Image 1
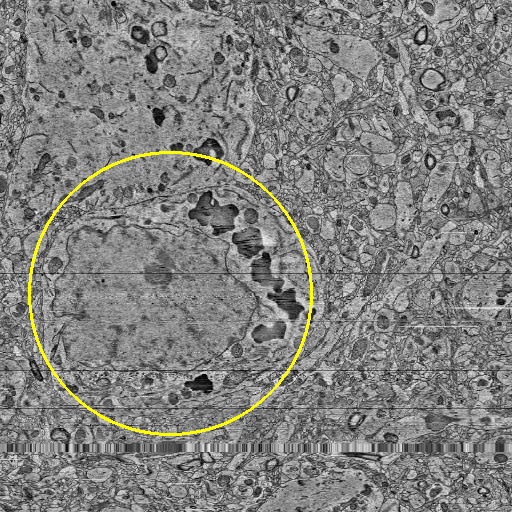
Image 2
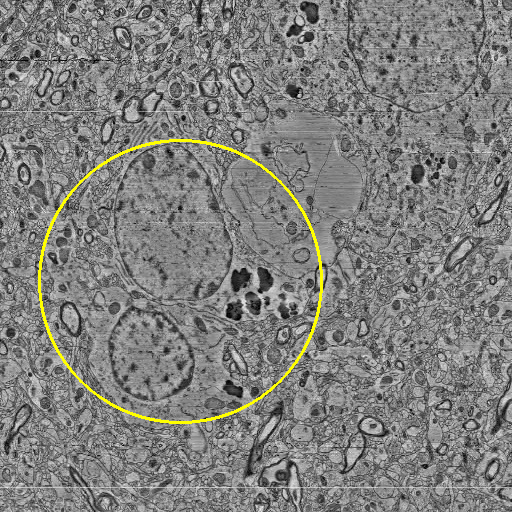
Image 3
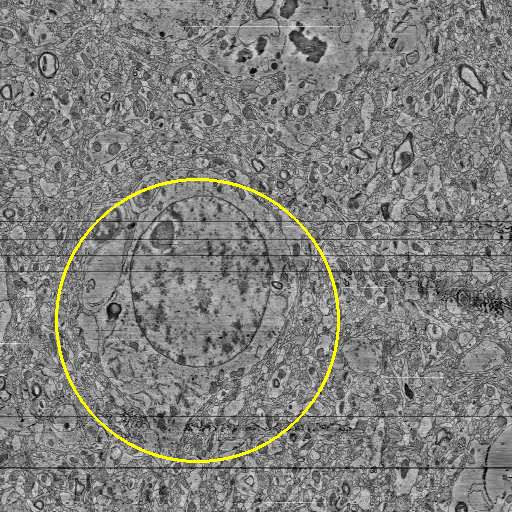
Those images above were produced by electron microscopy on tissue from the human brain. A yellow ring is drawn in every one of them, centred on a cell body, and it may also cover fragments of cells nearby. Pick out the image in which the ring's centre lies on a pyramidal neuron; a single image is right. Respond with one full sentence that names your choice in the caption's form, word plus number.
Image 3 is my choice: its ring is centred on the requested cell.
